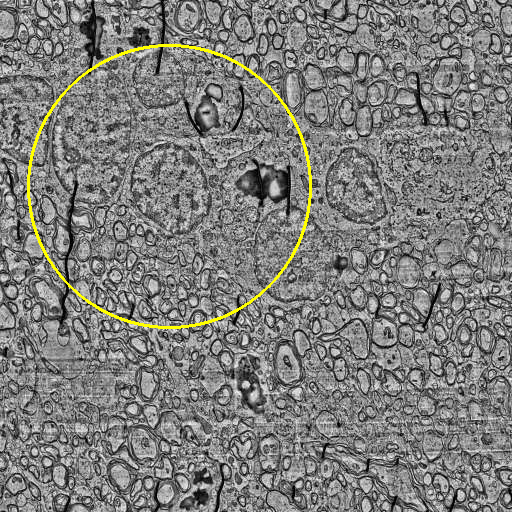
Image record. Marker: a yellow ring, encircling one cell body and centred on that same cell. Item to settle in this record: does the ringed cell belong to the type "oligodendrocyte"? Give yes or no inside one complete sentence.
Yes, in the picture, the cell centred within the yellow ring is of the stated type.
